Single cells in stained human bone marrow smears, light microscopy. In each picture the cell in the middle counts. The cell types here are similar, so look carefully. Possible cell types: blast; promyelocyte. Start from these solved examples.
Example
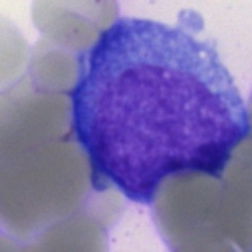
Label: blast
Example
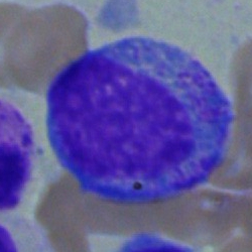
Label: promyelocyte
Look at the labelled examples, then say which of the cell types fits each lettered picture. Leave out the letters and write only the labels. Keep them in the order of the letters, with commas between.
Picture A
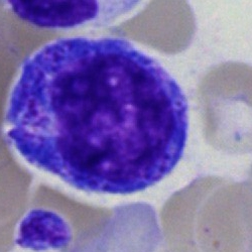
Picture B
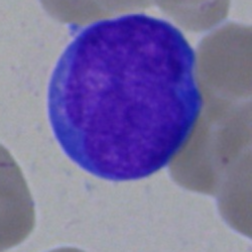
promyelocyte, blast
